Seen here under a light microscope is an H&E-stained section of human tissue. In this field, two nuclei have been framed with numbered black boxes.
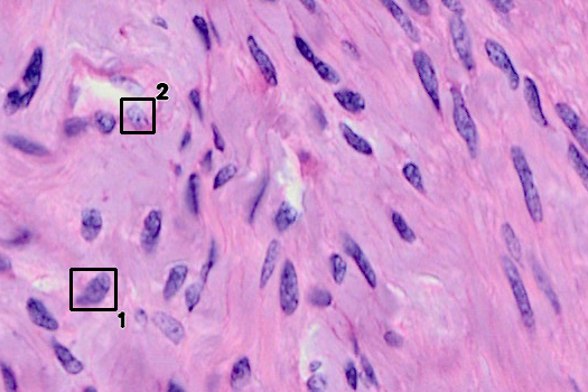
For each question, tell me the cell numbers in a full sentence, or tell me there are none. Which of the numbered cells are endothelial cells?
The one cell that is an endothelial cell is cell 2, and no other.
